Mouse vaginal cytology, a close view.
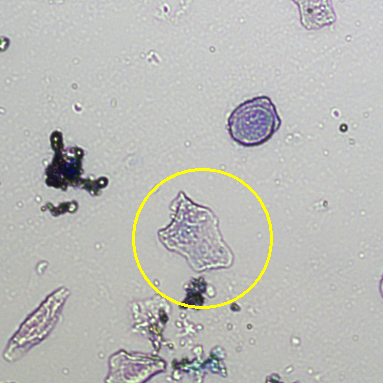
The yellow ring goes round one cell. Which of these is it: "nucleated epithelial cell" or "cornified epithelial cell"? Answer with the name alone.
cornified epithelial cell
